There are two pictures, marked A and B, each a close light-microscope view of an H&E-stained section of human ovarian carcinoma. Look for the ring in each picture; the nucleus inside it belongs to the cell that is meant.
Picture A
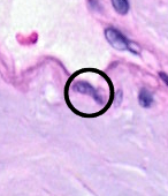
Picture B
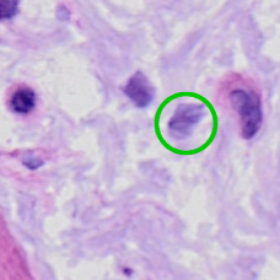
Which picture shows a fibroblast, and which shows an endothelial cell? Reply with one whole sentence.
Picture A shows an endothelial cell and picture B shows a fibroblast.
